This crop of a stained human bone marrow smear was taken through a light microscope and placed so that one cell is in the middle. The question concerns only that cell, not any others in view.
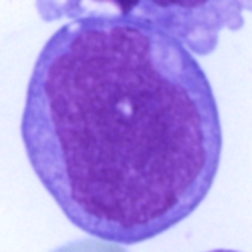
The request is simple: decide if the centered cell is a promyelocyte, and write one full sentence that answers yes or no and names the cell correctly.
No, the cell at the centre is identified as a blast, not as a promyelocyte.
